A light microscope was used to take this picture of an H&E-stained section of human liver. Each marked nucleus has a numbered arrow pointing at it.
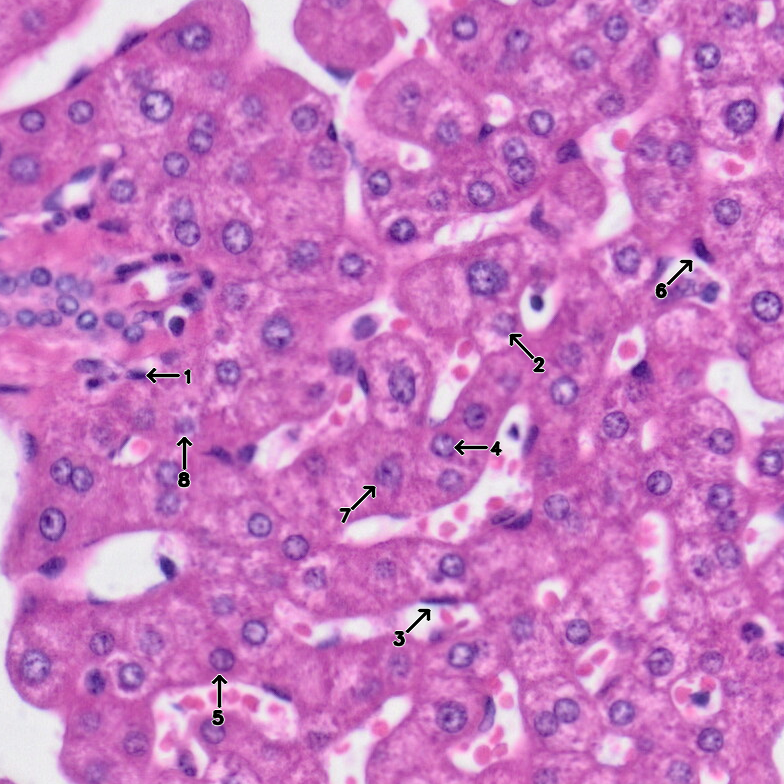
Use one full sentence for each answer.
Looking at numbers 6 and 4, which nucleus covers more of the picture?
Nucleus 4 is larger, with an area about 1.5 times that of nucleus 6.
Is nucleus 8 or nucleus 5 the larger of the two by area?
Nucleus 5 covers more area, about 1.5 times as much as nucleus 8.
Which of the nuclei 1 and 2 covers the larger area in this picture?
It is nucleus 2, which covers about 2.5 times the area of nucleus 1.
